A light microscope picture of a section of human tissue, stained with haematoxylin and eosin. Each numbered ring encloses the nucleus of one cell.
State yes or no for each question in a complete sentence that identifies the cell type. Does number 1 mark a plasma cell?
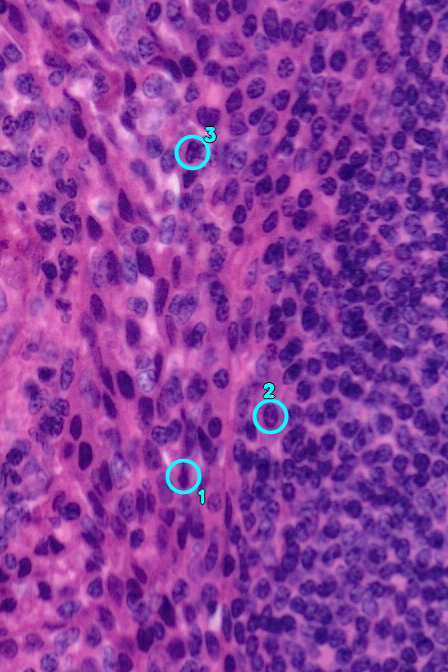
No, cell number 1 is identified as a squamous epithelial cell, not as a plasma cell.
